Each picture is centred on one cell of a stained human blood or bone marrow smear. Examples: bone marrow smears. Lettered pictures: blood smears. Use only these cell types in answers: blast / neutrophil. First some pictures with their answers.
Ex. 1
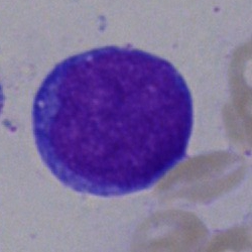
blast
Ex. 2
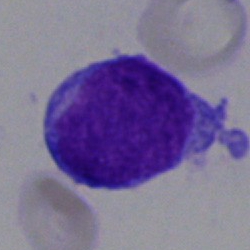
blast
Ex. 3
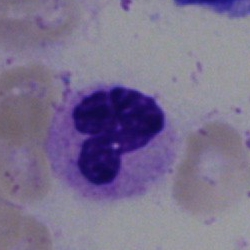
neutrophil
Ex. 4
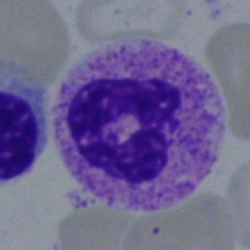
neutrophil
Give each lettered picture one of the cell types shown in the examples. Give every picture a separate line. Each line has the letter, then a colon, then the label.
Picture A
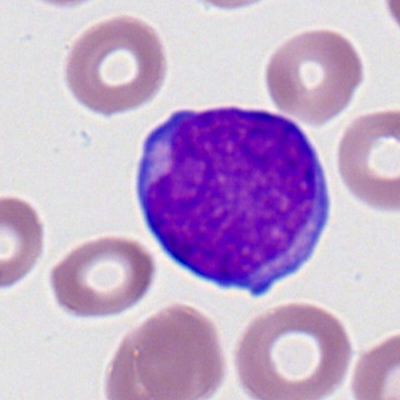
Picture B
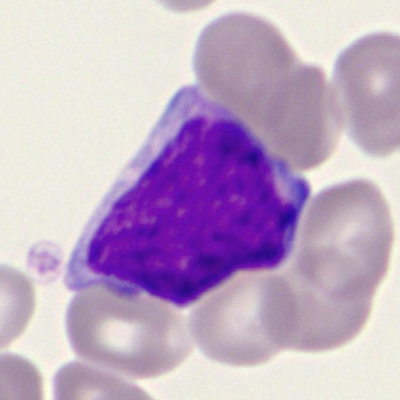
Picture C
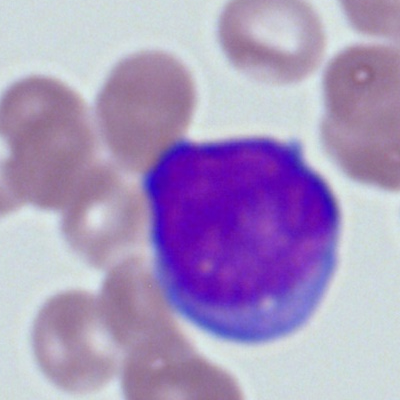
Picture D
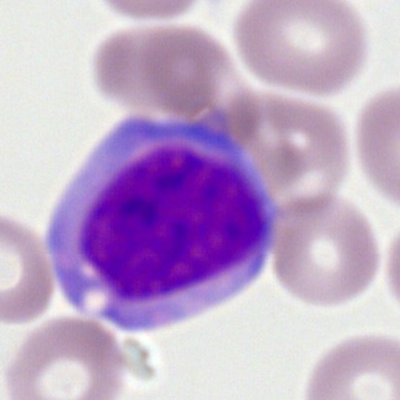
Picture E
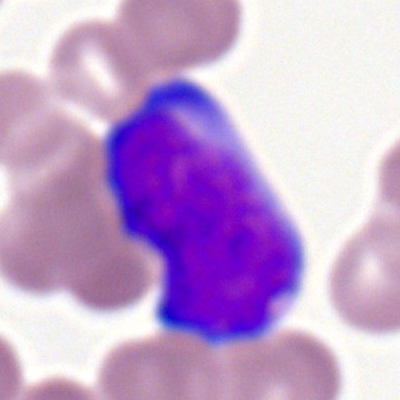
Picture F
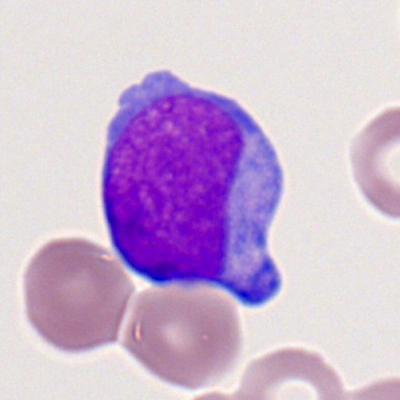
A: blast
B: blast
C: blast
D: blast
E: blast
F: blast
